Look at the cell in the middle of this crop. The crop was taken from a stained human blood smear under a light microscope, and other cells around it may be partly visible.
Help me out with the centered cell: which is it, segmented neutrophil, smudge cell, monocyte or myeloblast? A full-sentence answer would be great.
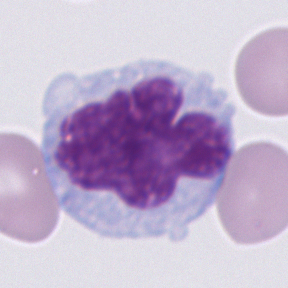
For this crop, the cell in the middle is a monocyte.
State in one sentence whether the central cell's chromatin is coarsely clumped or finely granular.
Its chromatin is finely dispersed rather than coarsely clumped.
